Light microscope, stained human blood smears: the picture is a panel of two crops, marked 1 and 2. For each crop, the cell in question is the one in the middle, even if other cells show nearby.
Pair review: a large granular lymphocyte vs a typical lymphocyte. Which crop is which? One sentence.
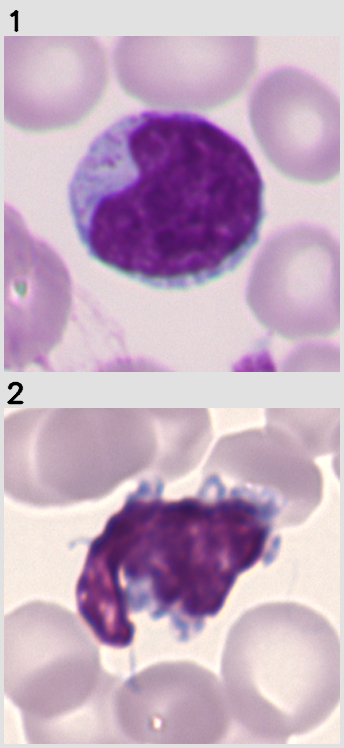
The centred cell is a large granular lymphocyte in crop 1 and a typical lymphocyte in crop 2.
